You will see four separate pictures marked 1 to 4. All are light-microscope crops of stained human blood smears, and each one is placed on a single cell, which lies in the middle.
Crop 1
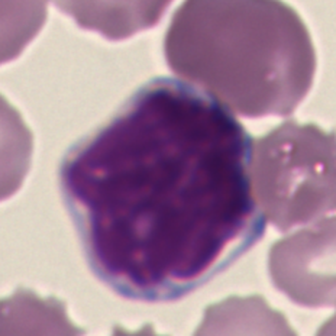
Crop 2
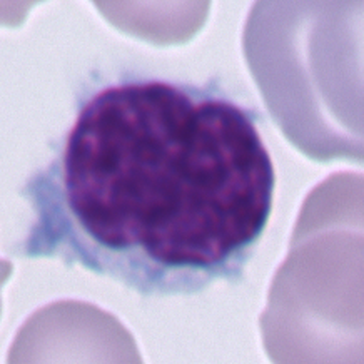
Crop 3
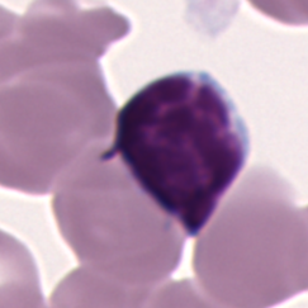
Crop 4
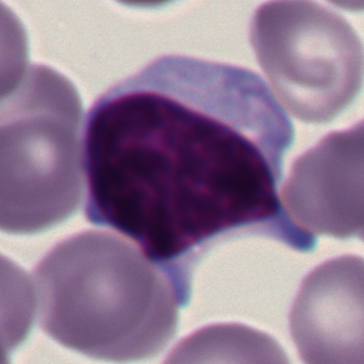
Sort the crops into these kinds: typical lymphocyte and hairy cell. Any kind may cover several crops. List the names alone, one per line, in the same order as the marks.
typical lymphocyte
hairy cell
typical lymphocyte
typical lymphocyte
